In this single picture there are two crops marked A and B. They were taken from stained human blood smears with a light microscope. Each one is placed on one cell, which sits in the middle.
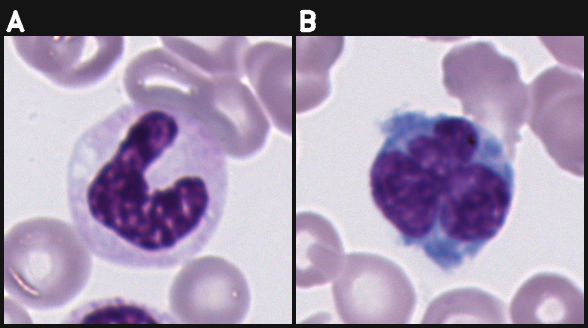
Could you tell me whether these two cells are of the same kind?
no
